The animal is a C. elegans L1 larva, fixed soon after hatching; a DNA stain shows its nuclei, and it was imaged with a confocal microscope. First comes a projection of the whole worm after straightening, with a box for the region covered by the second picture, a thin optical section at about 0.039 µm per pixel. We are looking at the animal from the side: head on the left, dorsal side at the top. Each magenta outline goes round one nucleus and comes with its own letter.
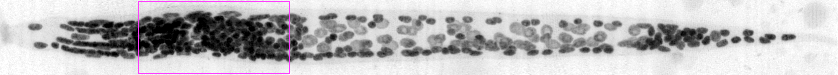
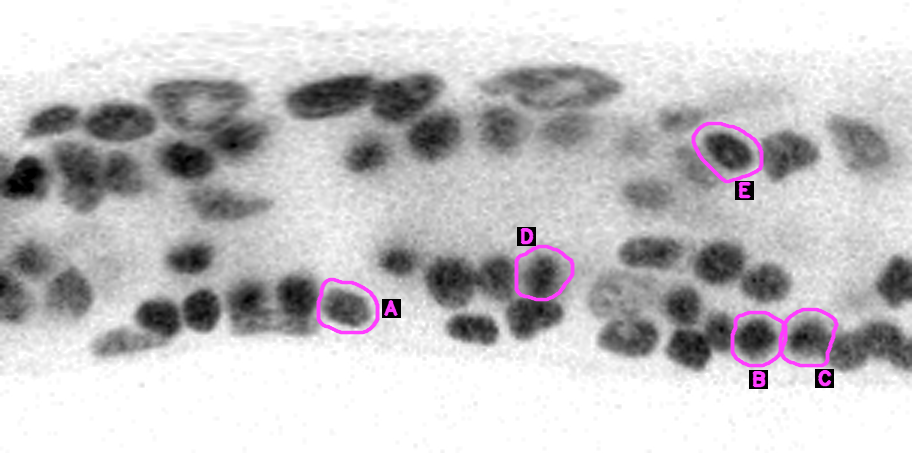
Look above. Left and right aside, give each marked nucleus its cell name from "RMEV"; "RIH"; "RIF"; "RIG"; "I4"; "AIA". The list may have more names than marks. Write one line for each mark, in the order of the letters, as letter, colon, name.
A: RMEV
B: RIF
C: RIG
D: AIA
E: I4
